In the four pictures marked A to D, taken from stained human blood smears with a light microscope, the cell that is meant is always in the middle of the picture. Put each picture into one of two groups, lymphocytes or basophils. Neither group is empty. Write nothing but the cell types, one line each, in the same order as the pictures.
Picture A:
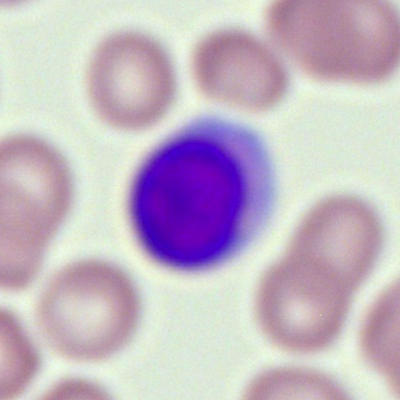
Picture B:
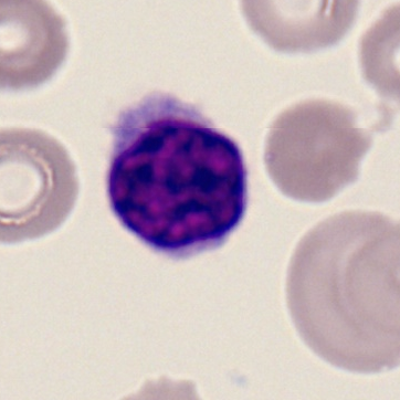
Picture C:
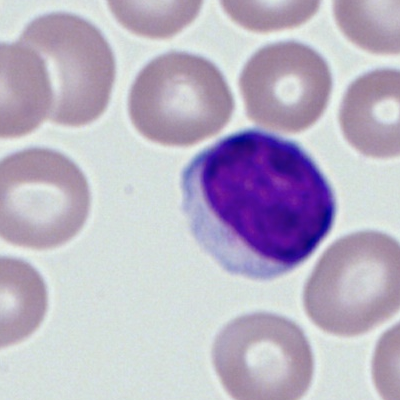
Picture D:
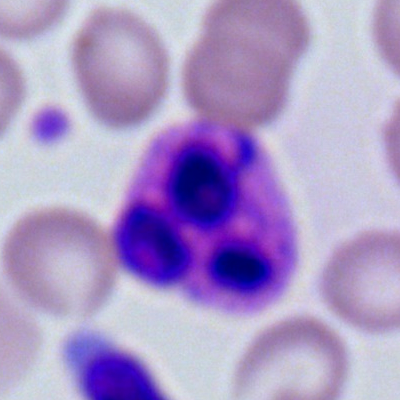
lymphocyte
lymphocyte
lymphocyte
basophil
